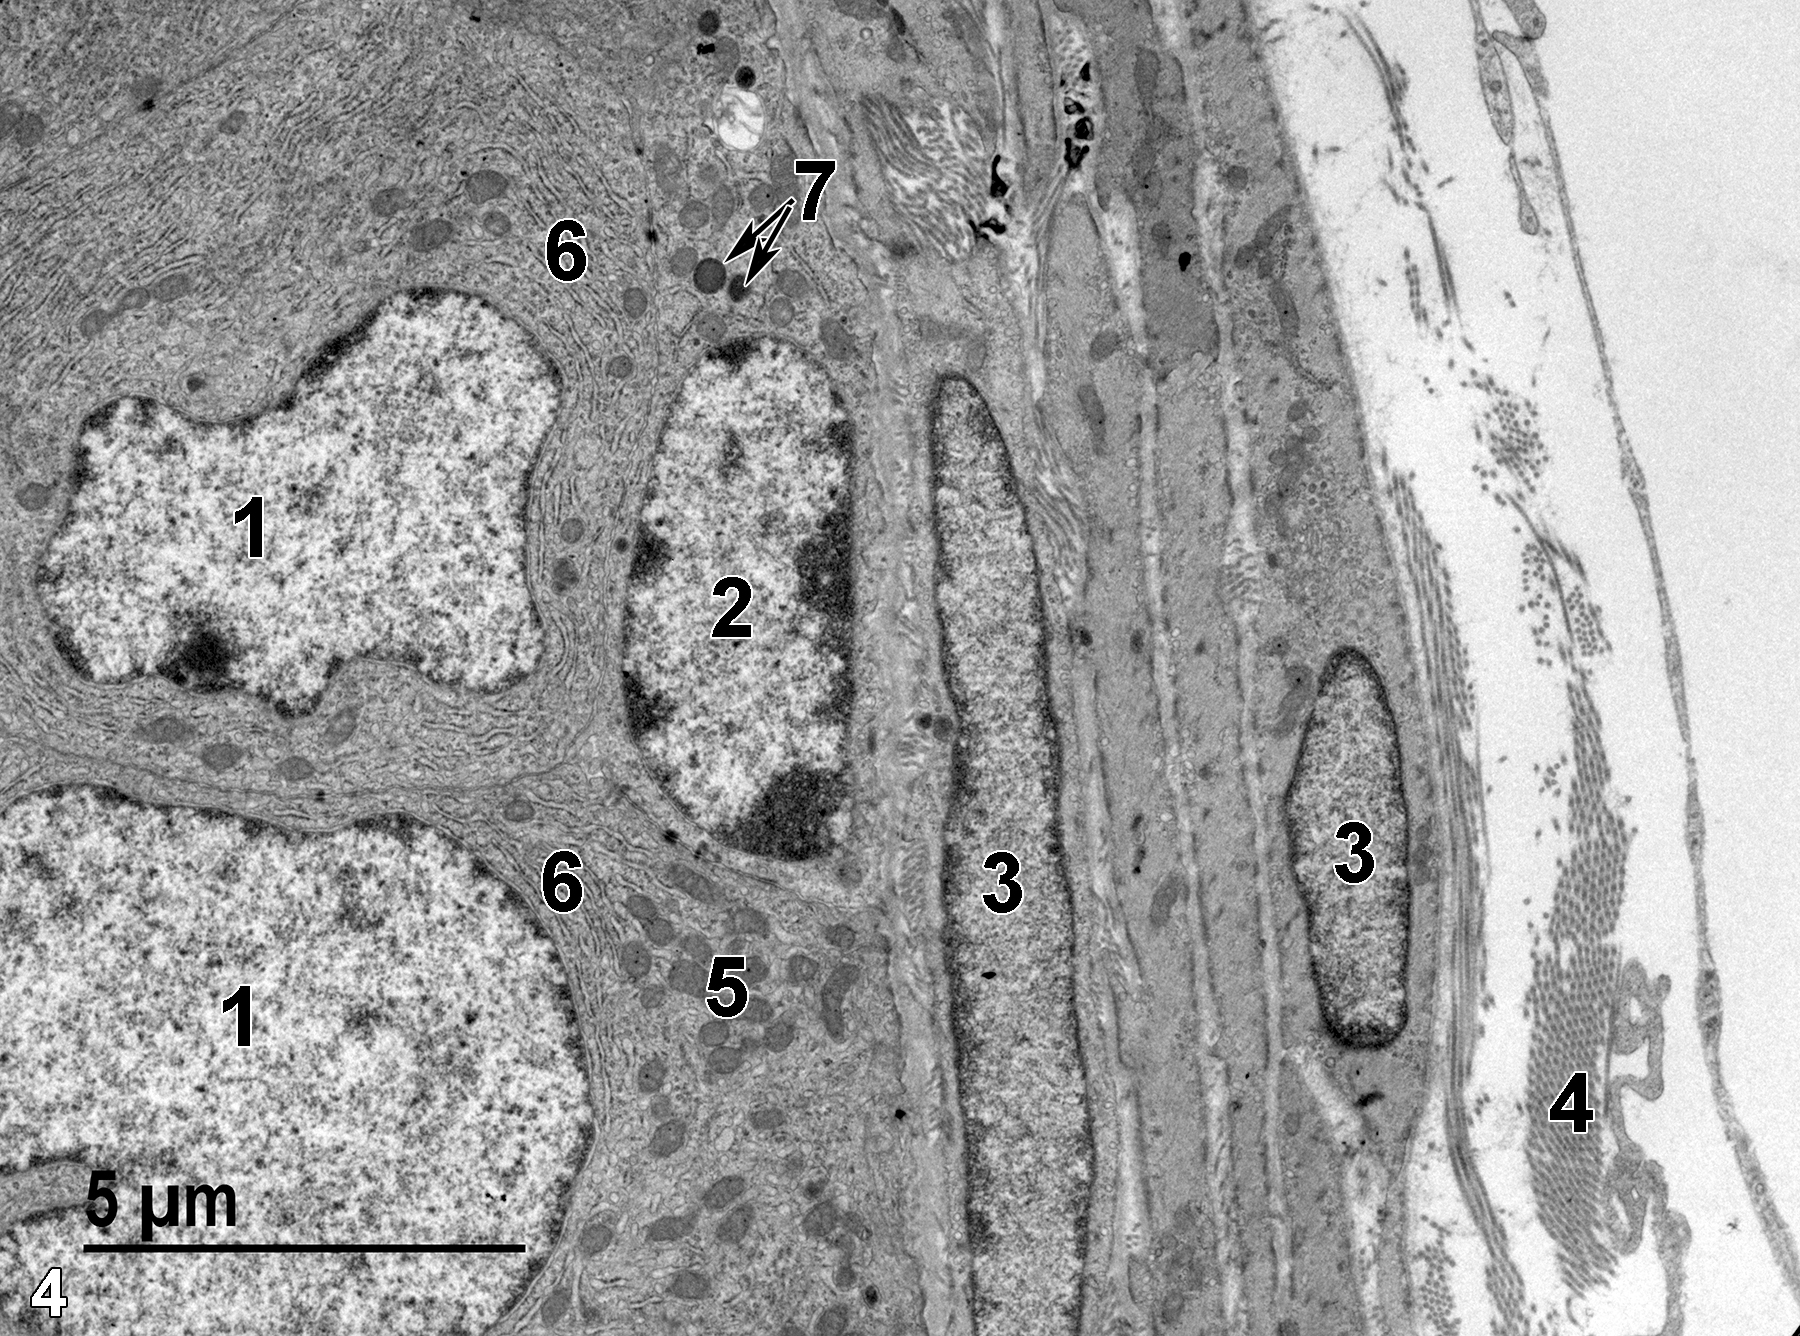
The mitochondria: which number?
It's 5.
